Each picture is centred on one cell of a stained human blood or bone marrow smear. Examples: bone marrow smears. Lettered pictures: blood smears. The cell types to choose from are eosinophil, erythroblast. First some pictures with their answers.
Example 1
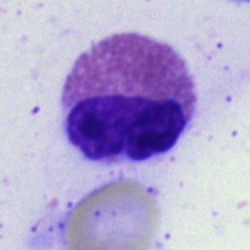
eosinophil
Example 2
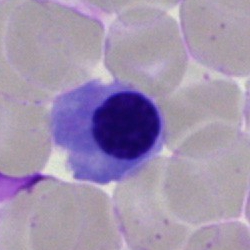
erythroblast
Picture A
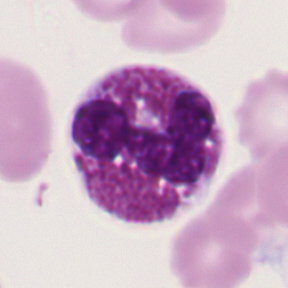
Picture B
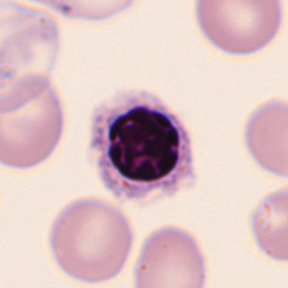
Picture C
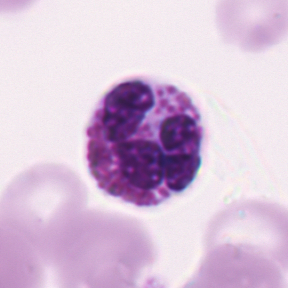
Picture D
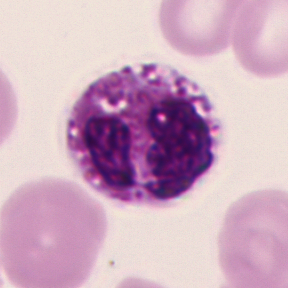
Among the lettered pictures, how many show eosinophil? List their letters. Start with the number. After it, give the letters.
3: A, C, D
